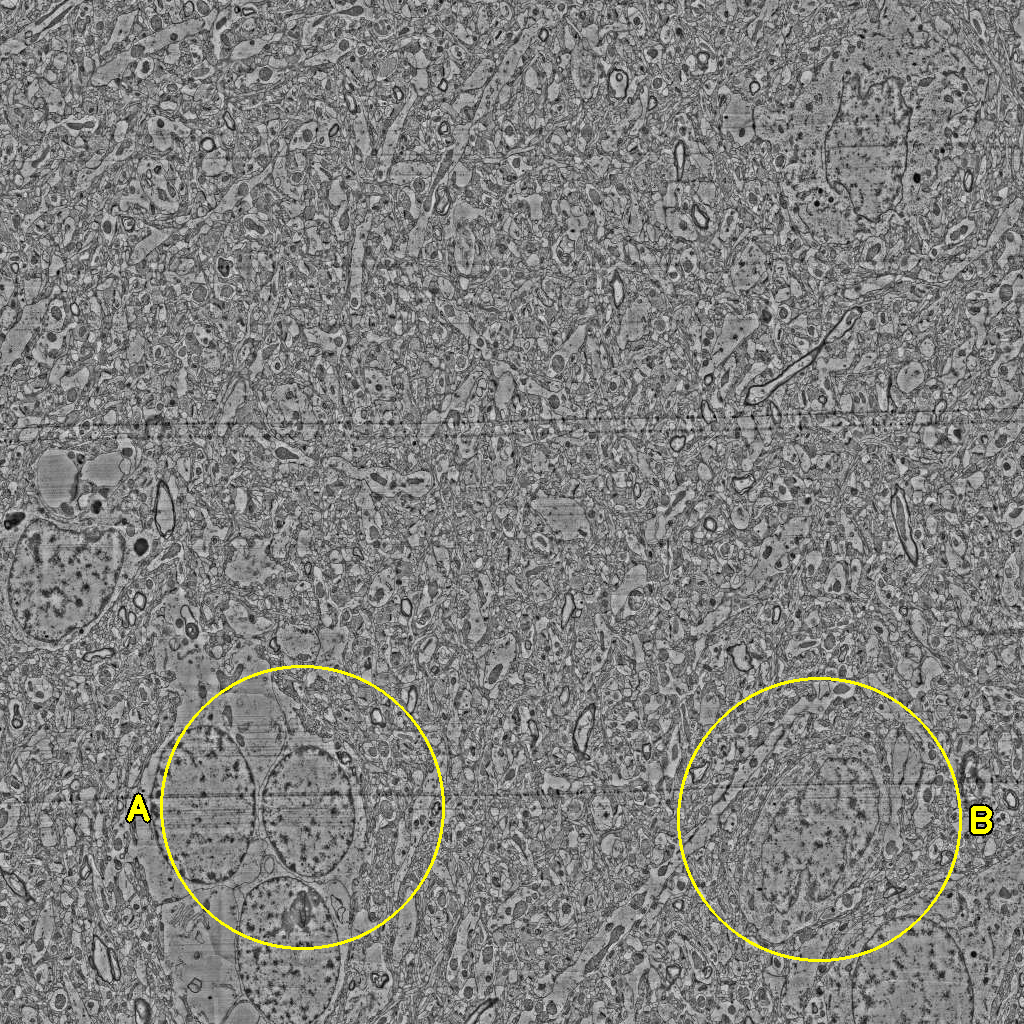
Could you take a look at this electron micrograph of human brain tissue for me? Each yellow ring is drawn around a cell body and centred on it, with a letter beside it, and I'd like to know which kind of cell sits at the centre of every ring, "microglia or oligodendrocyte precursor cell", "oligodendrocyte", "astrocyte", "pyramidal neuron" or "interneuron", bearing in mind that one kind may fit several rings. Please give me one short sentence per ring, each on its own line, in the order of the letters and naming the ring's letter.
Ring A is centred on an astrocyte.
Ring B is centred on an interneuron.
